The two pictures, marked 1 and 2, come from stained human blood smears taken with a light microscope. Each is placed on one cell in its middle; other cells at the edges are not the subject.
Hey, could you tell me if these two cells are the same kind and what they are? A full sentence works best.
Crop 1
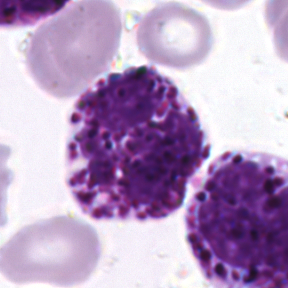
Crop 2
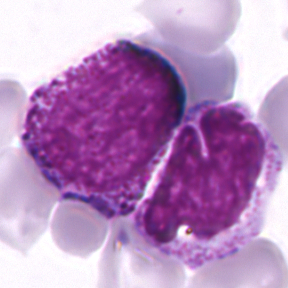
No, a promyelocyte is depicted in crop 2, whereas a basophil is depicted in crop 1.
